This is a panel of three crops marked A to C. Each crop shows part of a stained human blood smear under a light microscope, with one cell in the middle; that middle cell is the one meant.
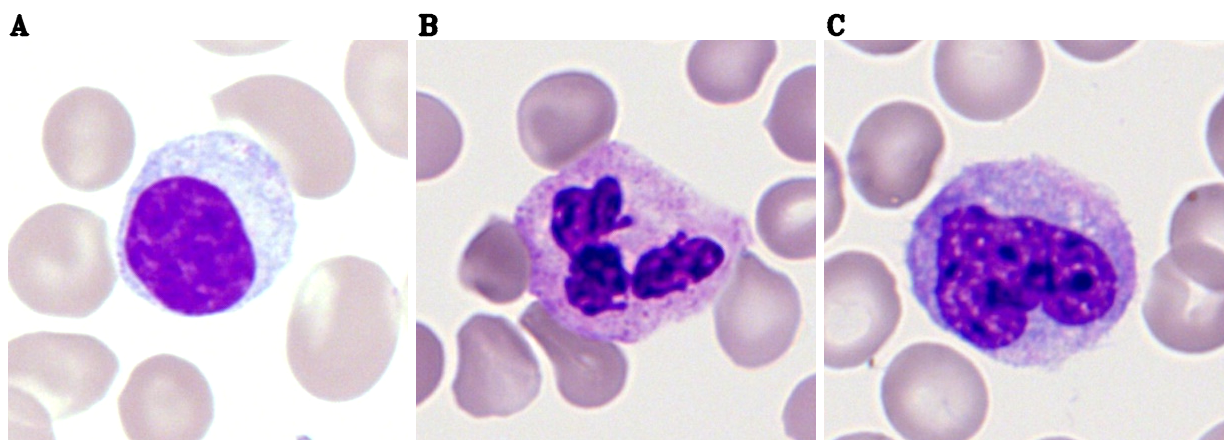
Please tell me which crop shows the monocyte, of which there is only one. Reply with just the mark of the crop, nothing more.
C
